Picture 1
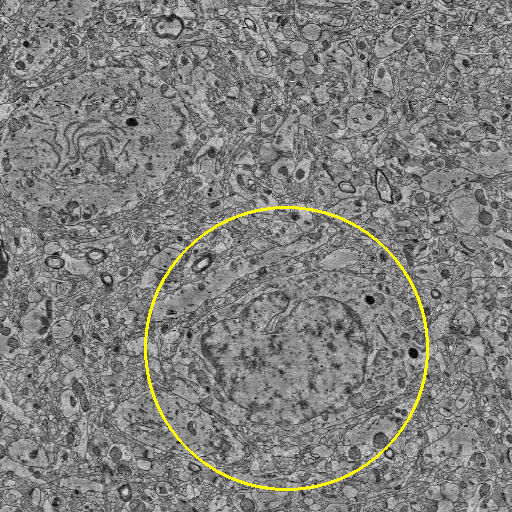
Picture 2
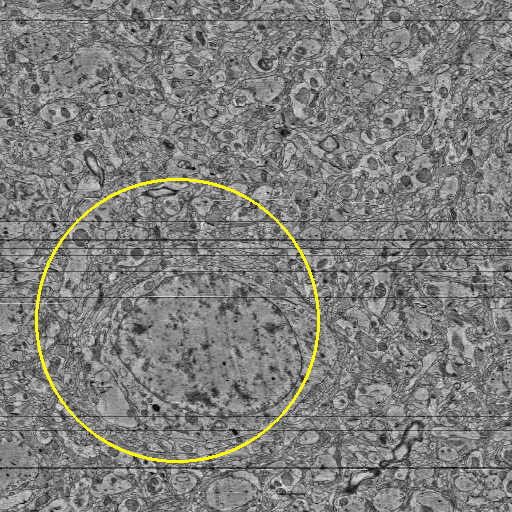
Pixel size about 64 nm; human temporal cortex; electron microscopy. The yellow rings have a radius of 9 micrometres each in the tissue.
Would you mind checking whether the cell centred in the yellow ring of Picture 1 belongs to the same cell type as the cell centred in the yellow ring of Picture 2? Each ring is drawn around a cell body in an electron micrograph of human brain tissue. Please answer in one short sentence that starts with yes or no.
No, the two cells are of two types.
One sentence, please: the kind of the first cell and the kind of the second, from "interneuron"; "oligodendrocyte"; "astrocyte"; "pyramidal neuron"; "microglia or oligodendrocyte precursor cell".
The ring in the first picture surrounds an interneuron, and the ring in the second surrounds a pyramidal neuron.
